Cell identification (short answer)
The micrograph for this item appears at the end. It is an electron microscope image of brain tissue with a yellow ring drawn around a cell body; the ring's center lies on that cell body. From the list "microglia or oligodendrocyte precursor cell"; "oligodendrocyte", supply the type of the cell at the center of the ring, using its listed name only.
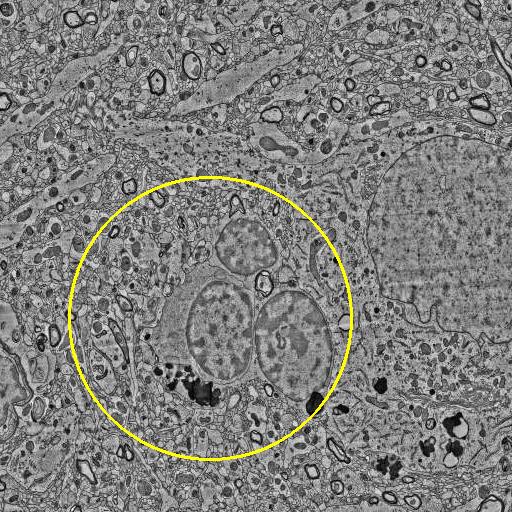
oligodendrocyte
